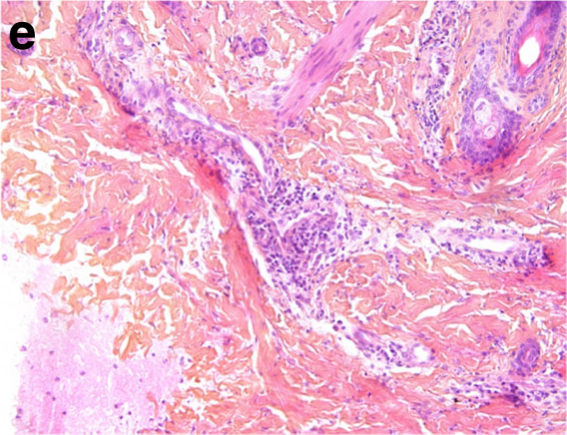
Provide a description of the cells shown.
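This is the dermis of skin, filled with wavy pink bundles of collagen separated by narrow clefts. Running diagonally through the middle is a small blood vessel, and around it lies a sleeve of small cells with round, dark-purple nuclei and scant cytoplasm, the look of lymphocytes gathered about the vessel. Away from the vessel the collagen holds only scattered cells. In the upper right are cross-sections of adnexal structures, and at the top a band of smooth-looking pink tissue crosses the field; at the lower left is a paler, looser area.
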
